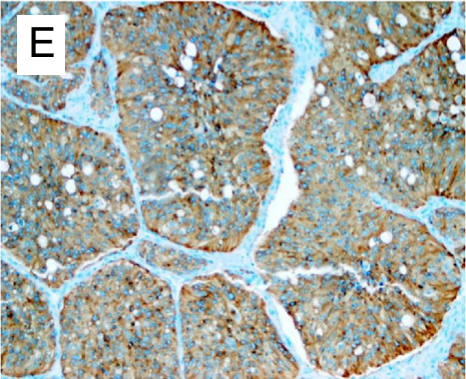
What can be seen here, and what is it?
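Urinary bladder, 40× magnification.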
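This paraganglioma is made of rounded nests of tumor cells separated by thin pale blue fibrovascular septa. The tumor cells show diffuse brown staining of their cytoplasm, with small blue nuclei, while the septa between the nests stay unstained; small clear round spaces are scattered within the nests.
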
